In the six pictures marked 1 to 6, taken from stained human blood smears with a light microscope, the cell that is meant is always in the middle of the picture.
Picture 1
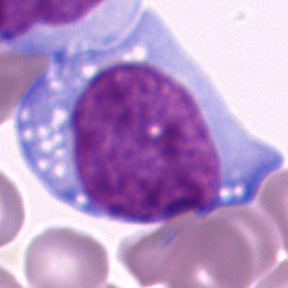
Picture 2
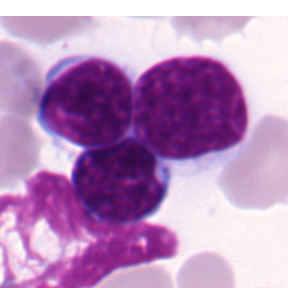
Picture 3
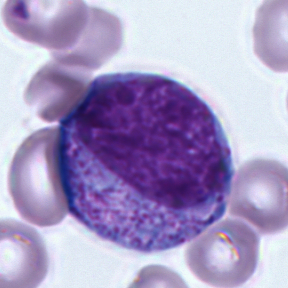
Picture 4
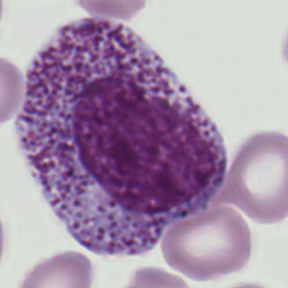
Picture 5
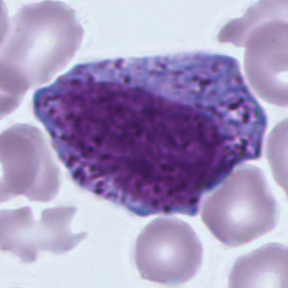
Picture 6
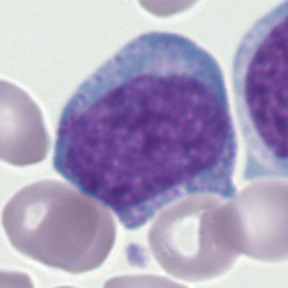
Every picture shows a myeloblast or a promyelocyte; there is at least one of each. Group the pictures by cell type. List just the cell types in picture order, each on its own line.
myeloblast
myeloblast
promyelocyte
promyelocyte
promyelocyte
promyelocyte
